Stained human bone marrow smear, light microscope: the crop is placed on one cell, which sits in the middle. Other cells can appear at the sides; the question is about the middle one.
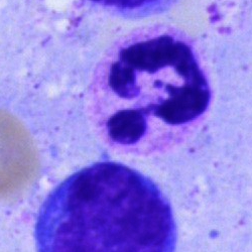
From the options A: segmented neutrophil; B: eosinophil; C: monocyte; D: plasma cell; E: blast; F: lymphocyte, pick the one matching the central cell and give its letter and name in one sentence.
The right choice is option A: the cell in the middle is a segmented neutrophil.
